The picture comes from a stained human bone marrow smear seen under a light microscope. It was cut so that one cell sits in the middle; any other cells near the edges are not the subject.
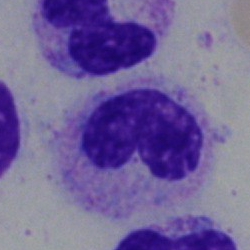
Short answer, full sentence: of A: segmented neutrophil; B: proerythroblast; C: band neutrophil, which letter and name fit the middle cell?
The one to choose is option C, as the cell in the middle is a band neutrophil.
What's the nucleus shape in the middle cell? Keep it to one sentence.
Have a look at the nucleus, which is one compact mass, round, oval or kidney-shaped.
